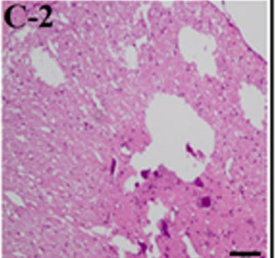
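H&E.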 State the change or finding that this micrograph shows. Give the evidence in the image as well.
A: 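A large irregular empty space in the middle of the tissue. Surrounding tissue is pale, loose and full of small holes.
Conclusion: cavity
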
